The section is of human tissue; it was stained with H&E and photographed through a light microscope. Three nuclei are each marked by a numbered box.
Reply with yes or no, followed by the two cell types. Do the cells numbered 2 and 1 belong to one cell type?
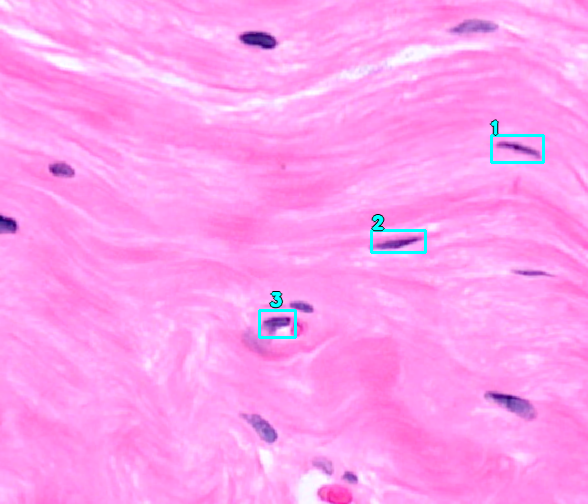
Yes, each of the two cells, 2 and 1, is among the fibroblasts.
